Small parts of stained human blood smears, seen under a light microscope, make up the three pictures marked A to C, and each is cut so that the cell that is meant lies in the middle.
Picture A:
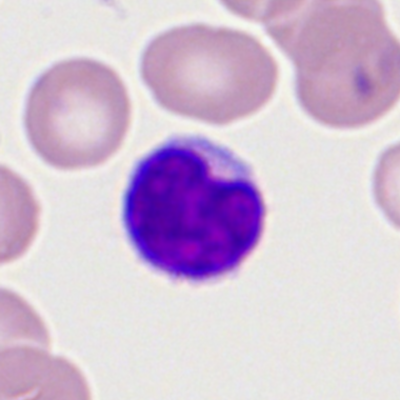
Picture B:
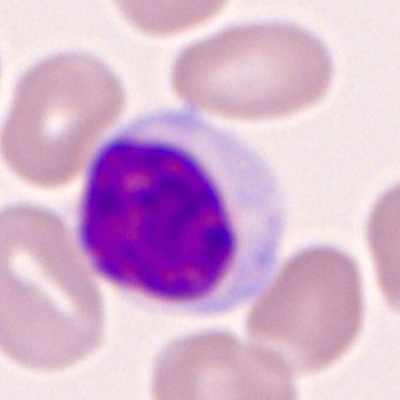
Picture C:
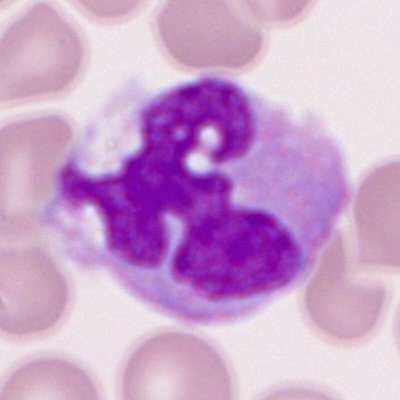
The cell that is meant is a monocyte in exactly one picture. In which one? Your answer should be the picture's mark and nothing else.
C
